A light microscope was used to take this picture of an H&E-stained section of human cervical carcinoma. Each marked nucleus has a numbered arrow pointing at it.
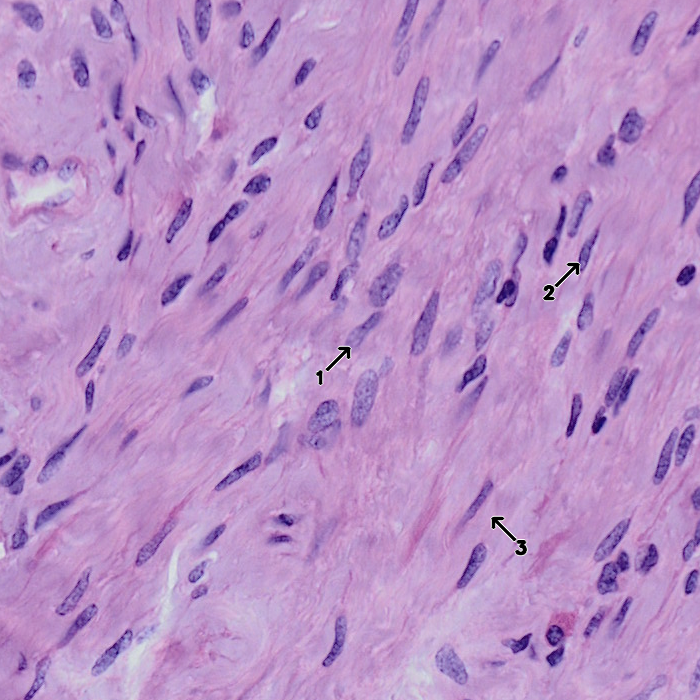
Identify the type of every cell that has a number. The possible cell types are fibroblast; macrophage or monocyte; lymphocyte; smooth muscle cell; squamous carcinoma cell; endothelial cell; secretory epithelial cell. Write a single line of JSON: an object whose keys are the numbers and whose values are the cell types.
{"1": "fibroblast", "2": "fibroblast", "3": "smooth muscle cell"}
